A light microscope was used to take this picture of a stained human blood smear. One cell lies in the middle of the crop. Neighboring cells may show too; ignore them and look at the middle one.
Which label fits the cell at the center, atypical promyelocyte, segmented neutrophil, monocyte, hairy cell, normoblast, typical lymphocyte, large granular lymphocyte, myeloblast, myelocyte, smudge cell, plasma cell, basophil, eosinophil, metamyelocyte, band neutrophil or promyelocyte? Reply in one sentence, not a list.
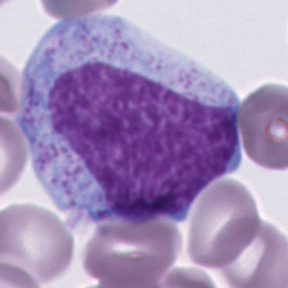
The cell nearest the centre of this crop is a promyelocyte.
